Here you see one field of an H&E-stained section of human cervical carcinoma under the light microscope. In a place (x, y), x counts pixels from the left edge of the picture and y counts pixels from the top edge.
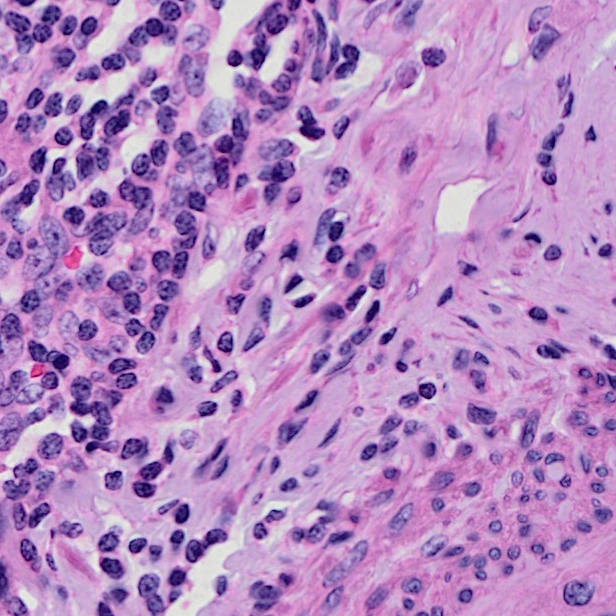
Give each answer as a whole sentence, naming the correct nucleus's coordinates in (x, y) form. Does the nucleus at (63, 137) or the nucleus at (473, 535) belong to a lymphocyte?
The nucleus contained in a lymphocyte is the one at (63, 137).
